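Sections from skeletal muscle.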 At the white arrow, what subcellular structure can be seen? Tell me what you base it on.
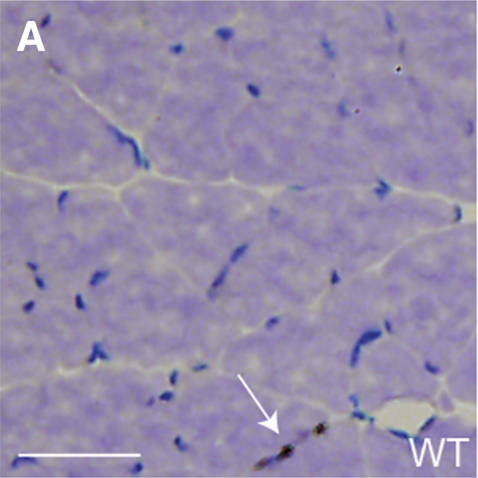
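Nuclei. The arrow tip rests on a small elongated dark body lying at the edge between two fibres. The marked body is dark with brown granules, unlike the plain blue bodies elsewhere.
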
